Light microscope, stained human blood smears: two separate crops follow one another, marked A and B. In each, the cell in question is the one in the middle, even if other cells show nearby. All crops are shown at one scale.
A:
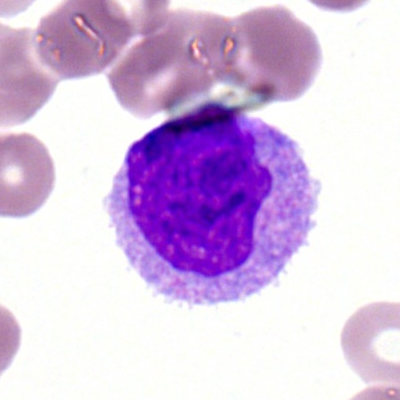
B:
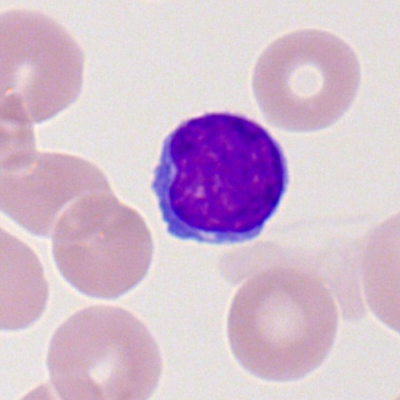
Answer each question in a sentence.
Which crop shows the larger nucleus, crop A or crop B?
The nucleus in crop A is larger, with about 1.5 times the area of the one in crop B.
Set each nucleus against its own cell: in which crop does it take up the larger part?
It is the cell in crop B that is filled more by its nucleus.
